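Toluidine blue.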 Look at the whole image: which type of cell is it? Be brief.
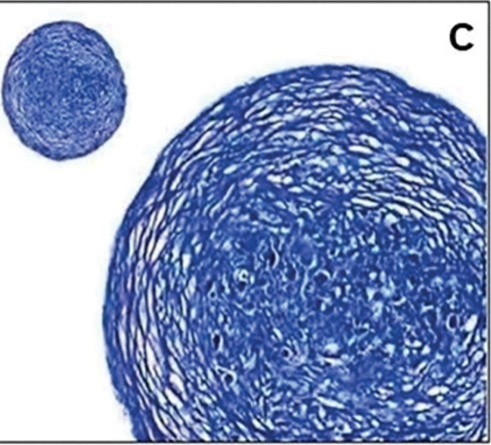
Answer: Differentiated Chondrocytes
